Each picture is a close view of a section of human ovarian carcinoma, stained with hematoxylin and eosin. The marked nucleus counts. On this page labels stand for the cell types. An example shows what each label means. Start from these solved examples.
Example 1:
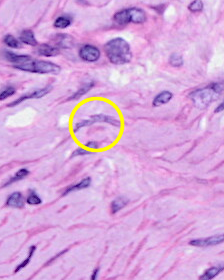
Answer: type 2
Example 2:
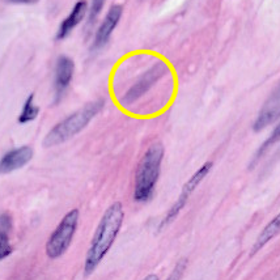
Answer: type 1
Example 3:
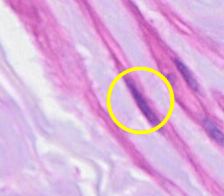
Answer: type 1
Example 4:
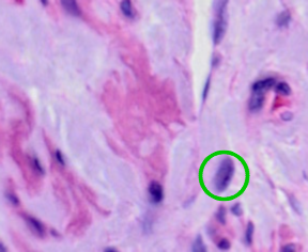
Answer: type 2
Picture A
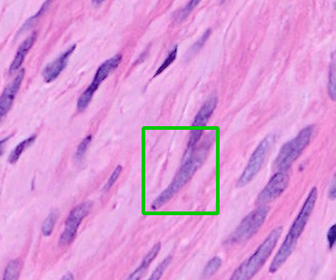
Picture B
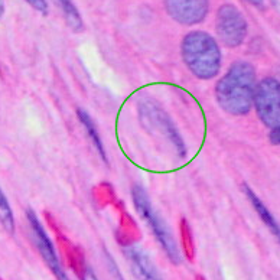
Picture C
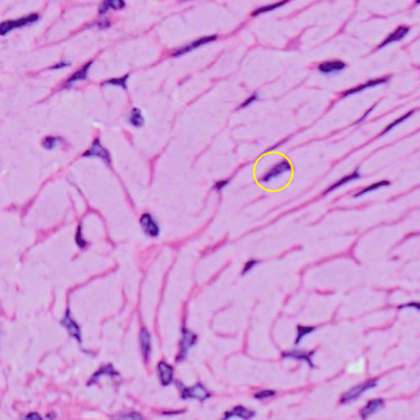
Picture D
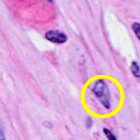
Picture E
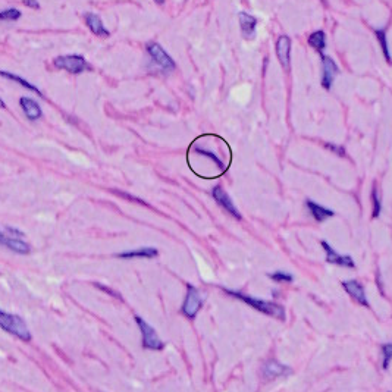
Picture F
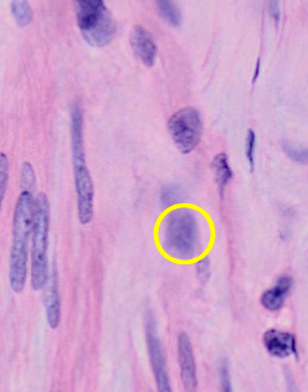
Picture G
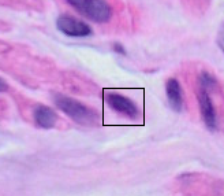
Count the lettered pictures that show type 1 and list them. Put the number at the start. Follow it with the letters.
Count: 2 (A, G)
